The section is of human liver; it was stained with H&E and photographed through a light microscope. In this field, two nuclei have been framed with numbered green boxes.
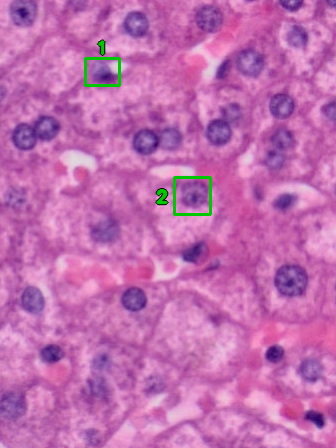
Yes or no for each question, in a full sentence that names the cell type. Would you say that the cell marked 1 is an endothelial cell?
Yes, the cell with the number 1 is an endothelial cell.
